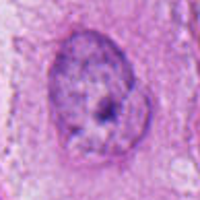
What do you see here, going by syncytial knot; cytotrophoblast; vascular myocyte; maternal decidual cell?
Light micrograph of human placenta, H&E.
I see a maternal decidual cell.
